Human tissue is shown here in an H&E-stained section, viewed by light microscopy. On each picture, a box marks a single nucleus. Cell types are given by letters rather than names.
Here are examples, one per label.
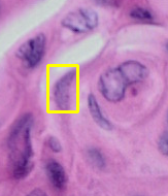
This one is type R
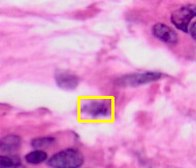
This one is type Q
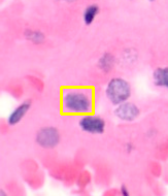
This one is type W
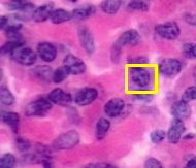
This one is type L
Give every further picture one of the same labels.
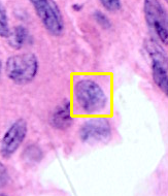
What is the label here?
type R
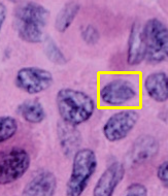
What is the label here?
type R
